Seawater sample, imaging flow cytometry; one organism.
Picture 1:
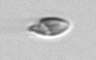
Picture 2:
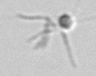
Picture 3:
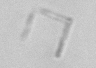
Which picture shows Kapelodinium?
Picture 1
